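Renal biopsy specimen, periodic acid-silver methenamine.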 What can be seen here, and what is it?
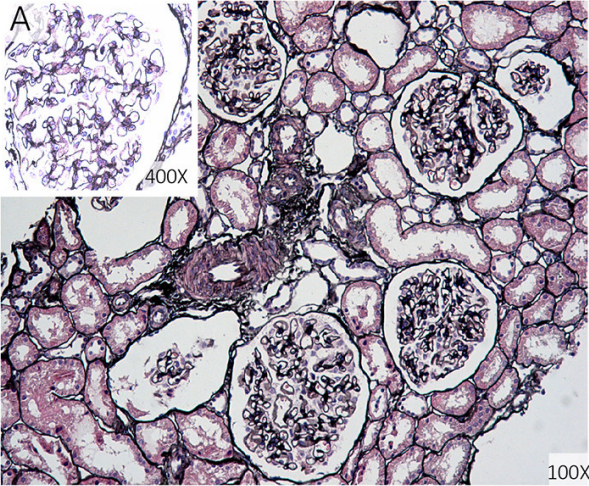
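This is kidney cortex with several glomeruli lying among cross-cut tubules, and a small artery with a thick wall between them. The tubules around them have pink cytoplasm and black-lined basement membranes.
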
